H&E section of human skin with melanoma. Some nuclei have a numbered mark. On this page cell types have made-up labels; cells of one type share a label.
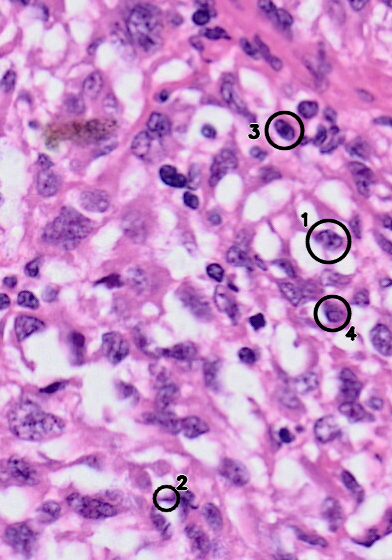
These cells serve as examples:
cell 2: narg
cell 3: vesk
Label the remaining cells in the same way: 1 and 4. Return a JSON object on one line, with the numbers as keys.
{"1": "narg", "4": "narg"}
